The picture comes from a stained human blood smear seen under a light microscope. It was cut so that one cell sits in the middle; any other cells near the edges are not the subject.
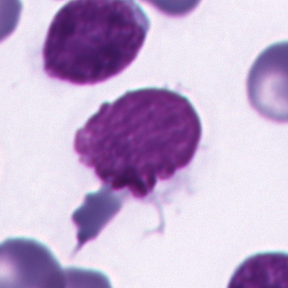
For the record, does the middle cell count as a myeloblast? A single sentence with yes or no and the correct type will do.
No, the cell under consideration is a smudge cell instead of a myeloblast.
